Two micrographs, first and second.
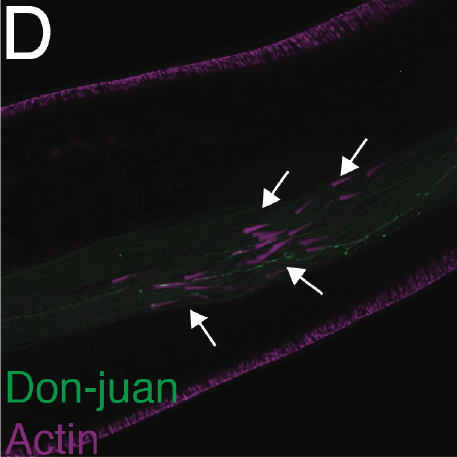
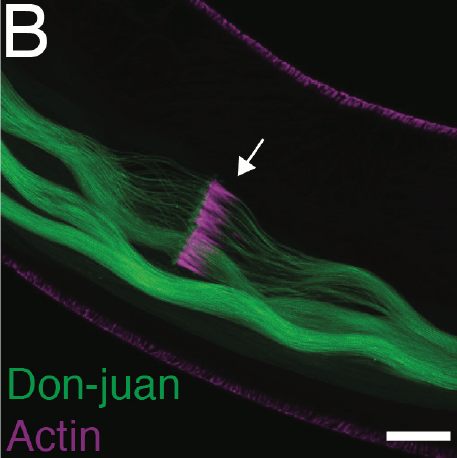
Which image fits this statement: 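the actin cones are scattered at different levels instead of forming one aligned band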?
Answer: The first image.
